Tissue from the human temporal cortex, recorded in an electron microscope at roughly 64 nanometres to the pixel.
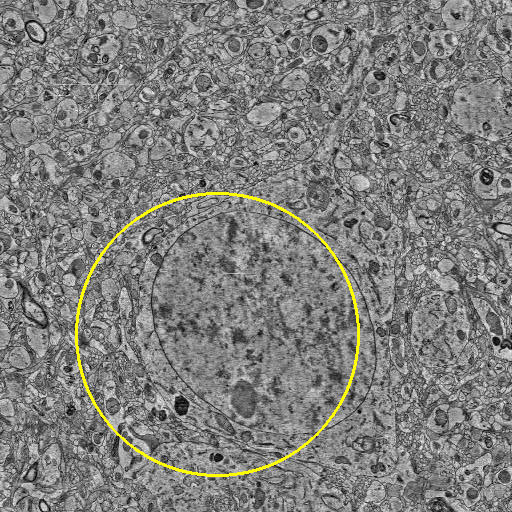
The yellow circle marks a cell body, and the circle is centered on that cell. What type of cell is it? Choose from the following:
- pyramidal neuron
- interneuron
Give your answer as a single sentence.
This cell body belongs to a pyramidal neuron.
